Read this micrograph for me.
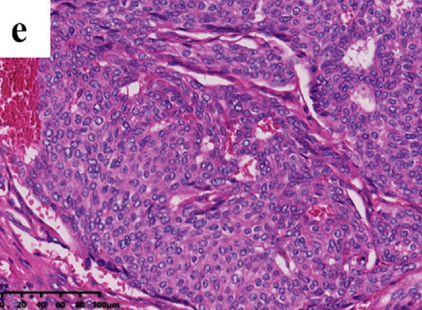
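Tightly packed cells fill a large rounded nodule, bounded and partly divided by thin pink fibrous septa that carry small blood vessels. The cells have oval, purple nuclei that are strikingly alike in size and shape, each with a modest rim of pale pink cytoplasm. A few small round spaces open within the cell mass, but most of it is solid. At the left edge a pool of red blood cells lies beside the nodule. This is a solid tumor nodule made of uniform cells with oval nuclei.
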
